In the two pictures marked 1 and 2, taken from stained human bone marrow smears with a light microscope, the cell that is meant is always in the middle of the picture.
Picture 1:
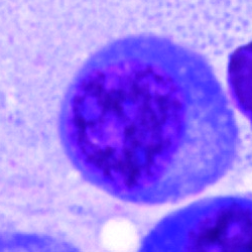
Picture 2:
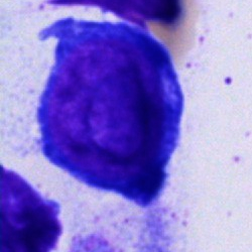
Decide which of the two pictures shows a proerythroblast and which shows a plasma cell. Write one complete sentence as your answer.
Picture 2 shows a proerythroblast, while picture 1 shows a plasma cell.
